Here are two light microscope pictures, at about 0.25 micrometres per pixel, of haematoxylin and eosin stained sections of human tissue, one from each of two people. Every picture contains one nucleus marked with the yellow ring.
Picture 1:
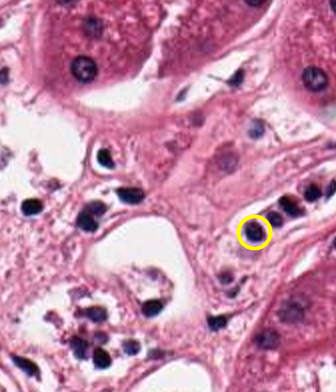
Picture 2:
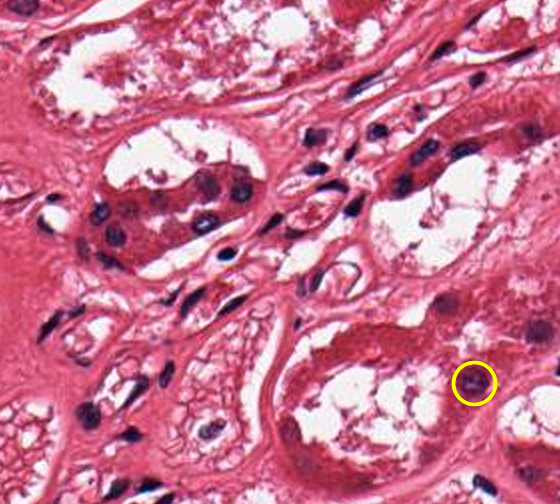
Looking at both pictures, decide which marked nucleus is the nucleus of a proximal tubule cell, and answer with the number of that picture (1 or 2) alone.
2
